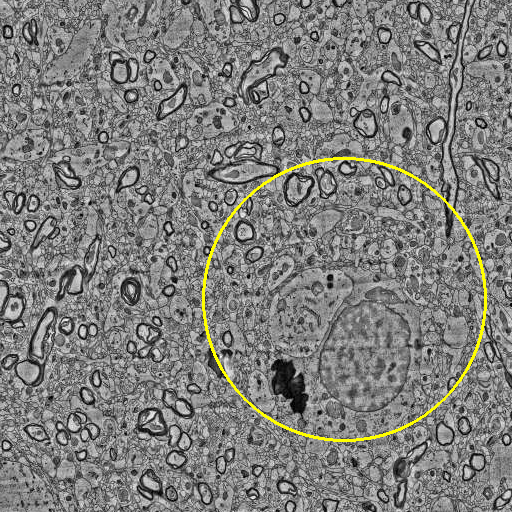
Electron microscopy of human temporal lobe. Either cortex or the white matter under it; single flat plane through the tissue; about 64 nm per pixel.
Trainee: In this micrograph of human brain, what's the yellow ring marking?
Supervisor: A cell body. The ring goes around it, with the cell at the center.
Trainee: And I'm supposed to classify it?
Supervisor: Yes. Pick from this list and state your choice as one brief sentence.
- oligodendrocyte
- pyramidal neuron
The cell at the ring's center is an oligodendrocyte.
